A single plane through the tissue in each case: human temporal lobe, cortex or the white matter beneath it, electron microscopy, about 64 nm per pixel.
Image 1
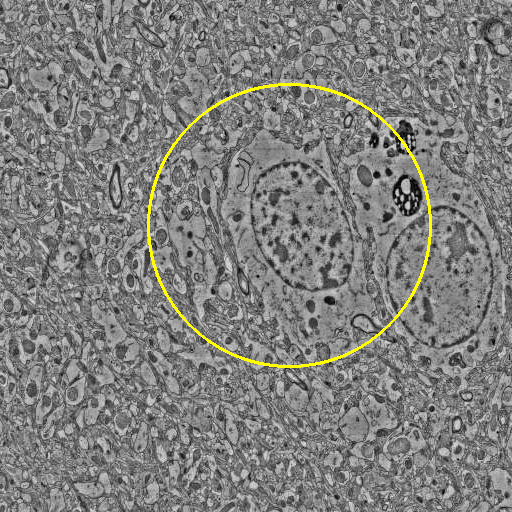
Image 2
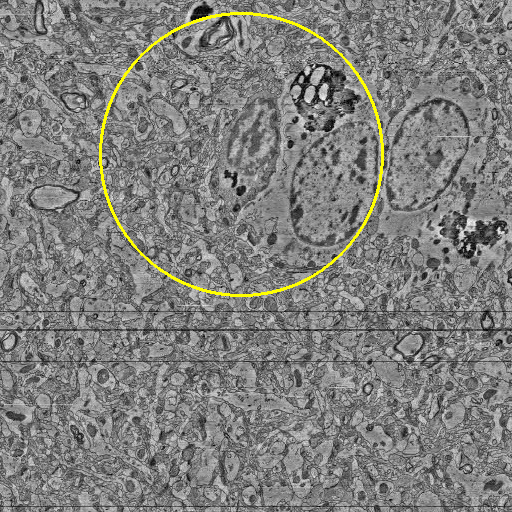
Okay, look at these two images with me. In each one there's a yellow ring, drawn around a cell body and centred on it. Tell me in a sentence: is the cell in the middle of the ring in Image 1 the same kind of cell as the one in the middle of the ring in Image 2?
No, they're two kinds of cell.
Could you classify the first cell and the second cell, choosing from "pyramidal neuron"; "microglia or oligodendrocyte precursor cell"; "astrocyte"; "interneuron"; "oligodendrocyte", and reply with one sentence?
The second cell is an oligodendrocyte, while the first is an astrocyte.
